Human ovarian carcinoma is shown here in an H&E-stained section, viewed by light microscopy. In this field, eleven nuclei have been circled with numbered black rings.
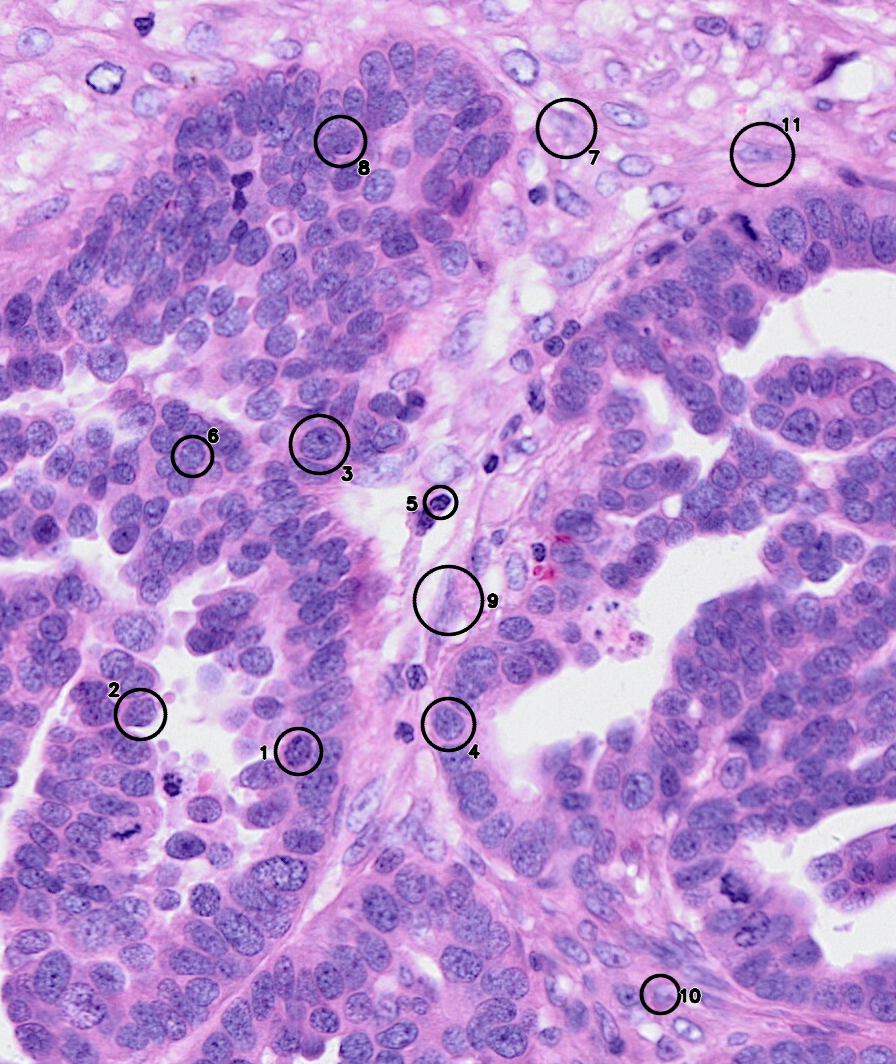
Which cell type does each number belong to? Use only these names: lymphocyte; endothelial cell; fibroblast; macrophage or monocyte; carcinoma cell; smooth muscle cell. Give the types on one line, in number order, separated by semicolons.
carcinoma cell; carcinoma cell; carcinoma cell; carcinoma cell; lymphocyte; carcinoma cell; fibroblast; carcinoma cell; fibroblast; fibroblast; fibroblast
